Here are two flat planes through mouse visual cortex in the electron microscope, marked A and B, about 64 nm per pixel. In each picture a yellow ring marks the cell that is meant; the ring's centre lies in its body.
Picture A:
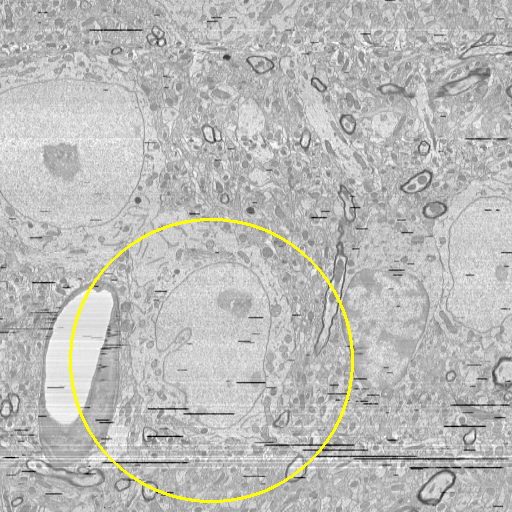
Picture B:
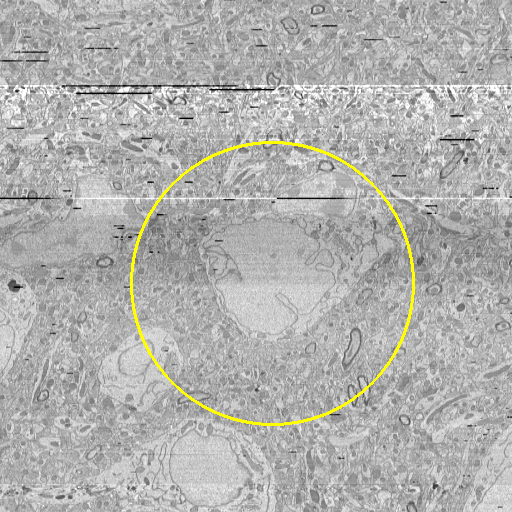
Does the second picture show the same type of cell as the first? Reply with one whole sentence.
No, they differ: the cell is an excitatory neuron in picture A and an inhibitory neuron in picture B.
